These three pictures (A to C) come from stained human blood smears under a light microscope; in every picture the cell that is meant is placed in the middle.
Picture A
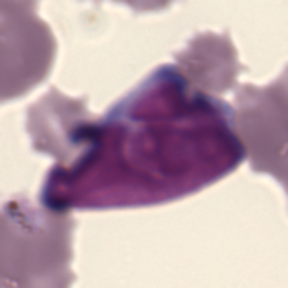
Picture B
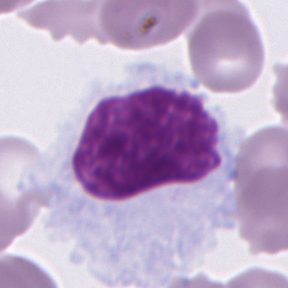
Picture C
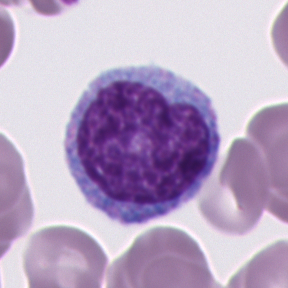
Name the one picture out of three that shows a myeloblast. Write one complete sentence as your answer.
It is picture A that shows the myeloblast.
